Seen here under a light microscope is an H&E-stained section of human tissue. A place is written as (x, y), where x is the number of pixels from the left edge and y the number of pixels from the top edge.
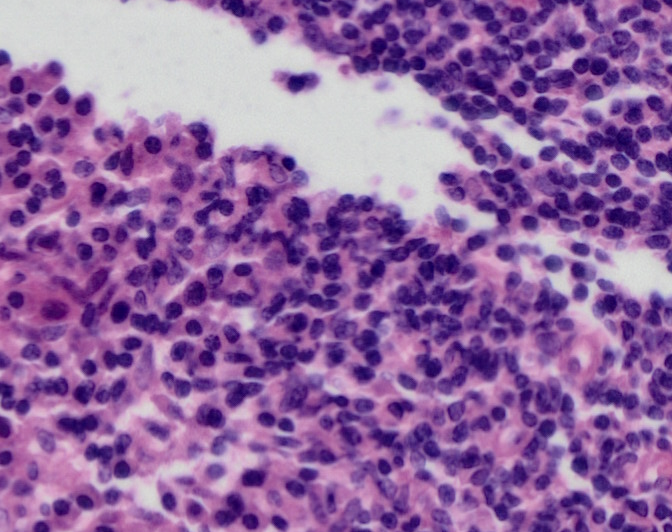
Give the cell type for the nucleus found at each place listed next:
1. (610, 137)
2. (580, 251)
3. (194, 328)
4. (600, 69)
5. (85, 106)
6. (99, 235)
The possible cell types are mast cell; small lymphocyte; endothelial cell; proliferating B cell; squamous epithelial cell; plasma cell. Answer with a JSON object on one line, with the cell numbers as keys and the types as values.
{"1": "small lymphocyte", "2": "small lymphocyte", "3": "plasma cell", "4": "small lymphocyte", "5": "plasma cell", "6": "plasma cell"}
